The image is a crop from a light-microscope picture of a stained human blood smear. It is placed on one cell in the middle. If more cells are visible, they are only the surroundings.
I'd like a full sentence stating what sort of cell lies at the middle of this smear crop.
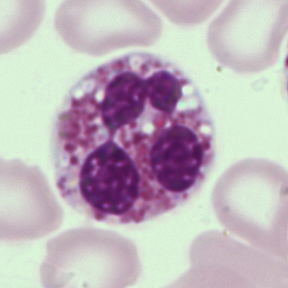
Standing at the centre of this crop is an eosinophil.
